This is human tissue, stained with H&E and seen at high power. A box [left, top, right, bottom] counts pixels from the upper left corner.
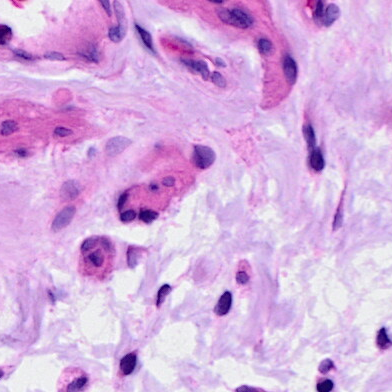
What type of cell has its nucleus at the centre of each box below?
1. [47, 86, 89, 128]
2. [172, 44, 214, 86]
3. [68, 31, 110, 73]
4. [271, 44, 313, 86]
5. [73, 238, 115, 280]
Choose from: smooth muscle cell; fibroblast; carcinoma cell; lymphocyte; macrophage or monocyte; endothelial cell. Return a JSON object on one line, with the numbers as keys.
{"1": "smooth muscle cell", "2": "endothelial cell", "3": "endothelial cell", "4": "smooth muscle cell", "5": "smooth muscle cell"}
